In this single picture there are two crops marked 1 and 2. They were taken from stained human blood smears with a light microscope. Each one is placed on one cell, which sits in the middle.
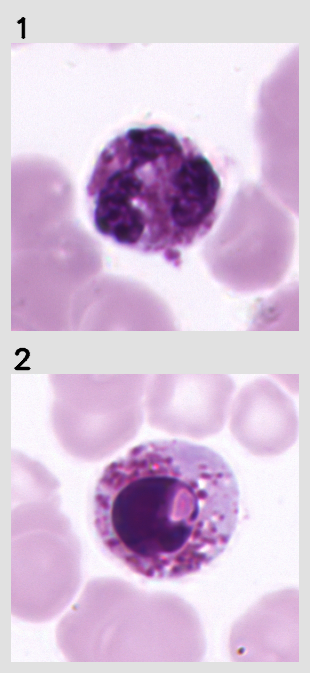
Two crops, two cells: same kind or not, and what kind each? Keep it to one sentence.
Yes, the reply for both crops is eosinophils.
